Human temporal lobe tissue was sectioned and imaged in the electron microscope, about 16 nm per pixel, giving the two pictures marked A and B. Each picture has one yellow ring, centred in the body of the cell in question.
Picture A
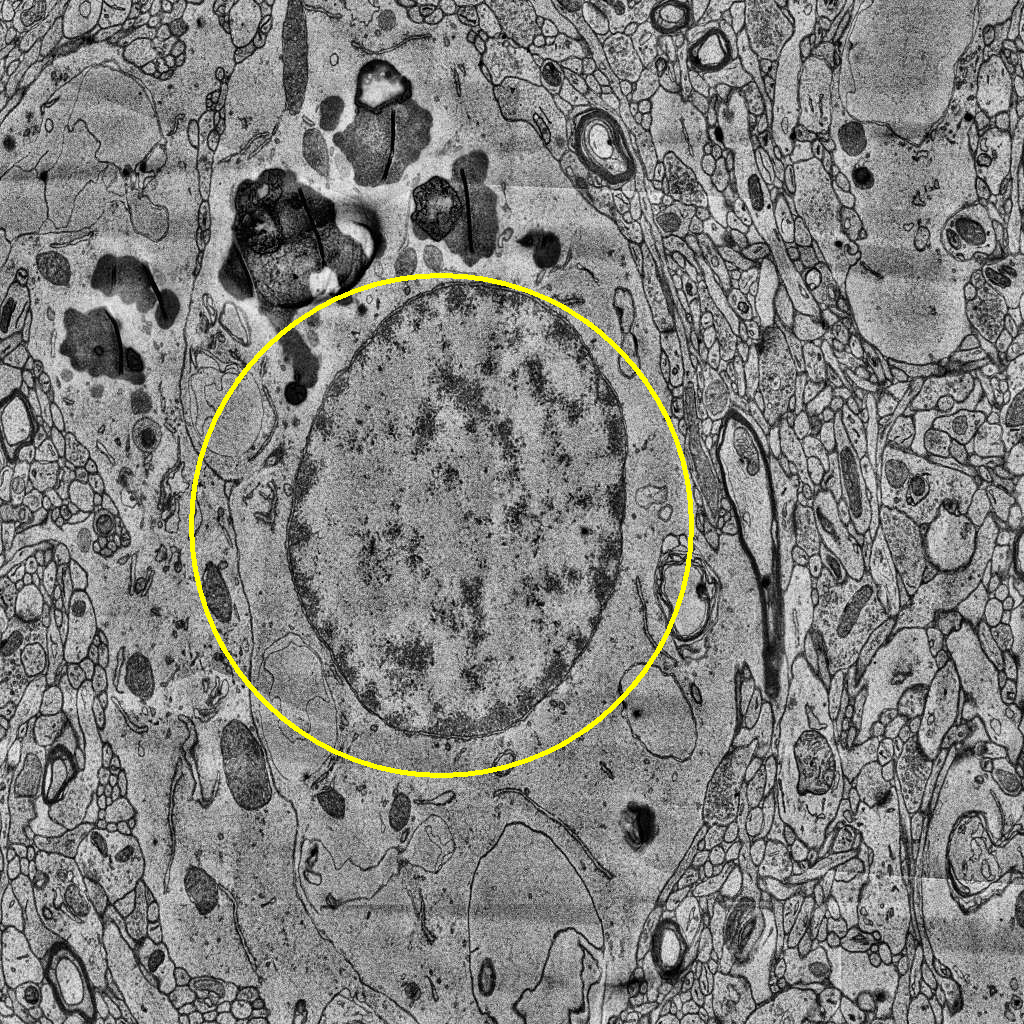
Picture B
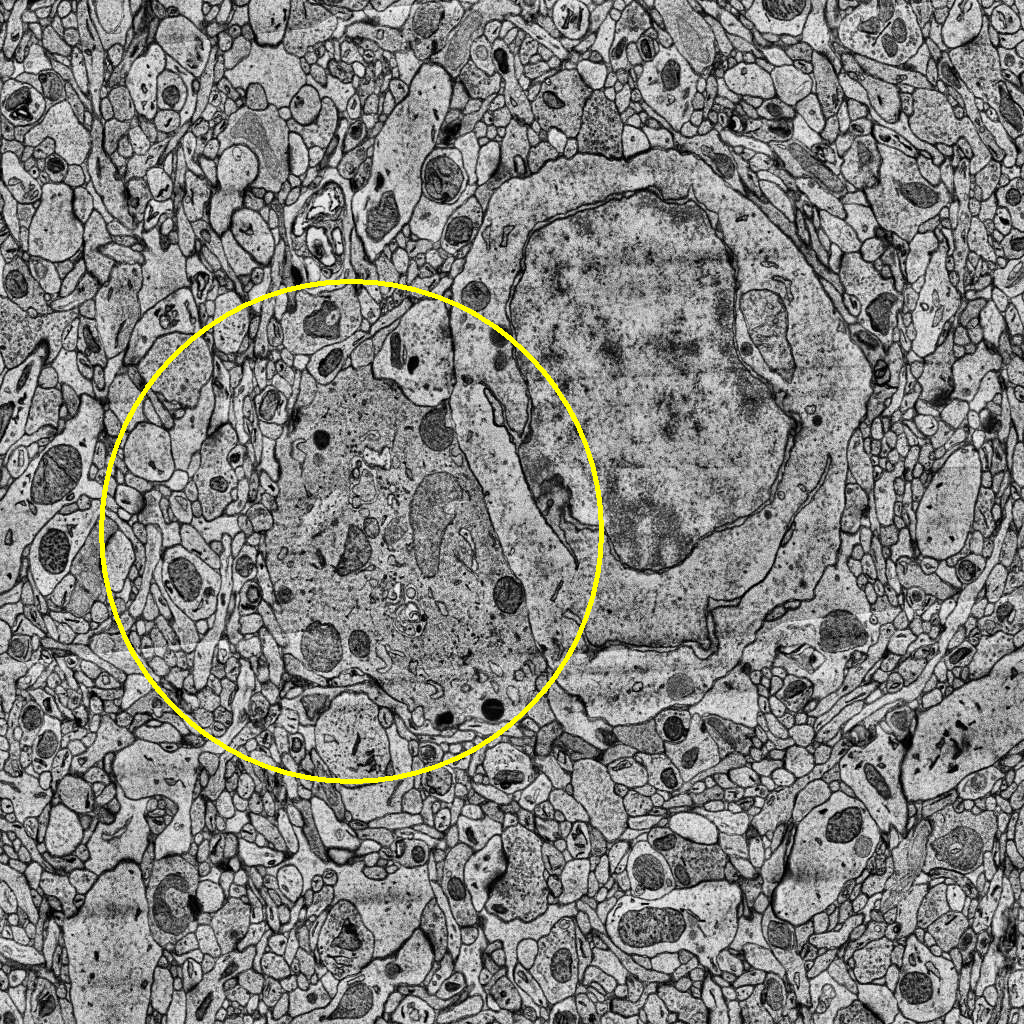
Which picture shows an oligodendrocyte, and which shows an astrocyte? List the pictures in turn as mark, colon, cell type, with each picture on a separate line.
A: astrocyte
B: oligodendrocyte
